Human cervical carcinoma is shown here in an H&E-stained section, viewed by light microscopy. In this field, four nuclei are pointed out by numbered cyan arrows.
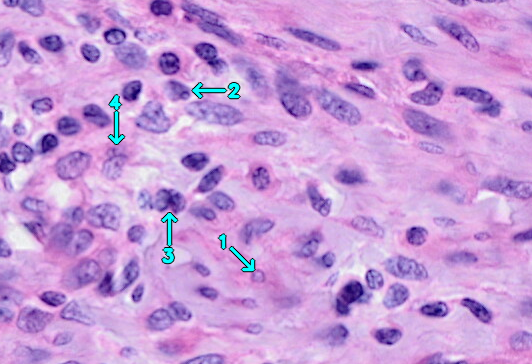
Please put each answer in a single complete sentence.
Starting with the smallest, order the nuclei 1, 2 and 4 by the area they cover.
By area, going up from the smallest, they rank 1, 2, 4.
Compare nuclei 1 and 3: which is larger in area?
Number 3 is larger; its area is about 4 times that of number 1.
